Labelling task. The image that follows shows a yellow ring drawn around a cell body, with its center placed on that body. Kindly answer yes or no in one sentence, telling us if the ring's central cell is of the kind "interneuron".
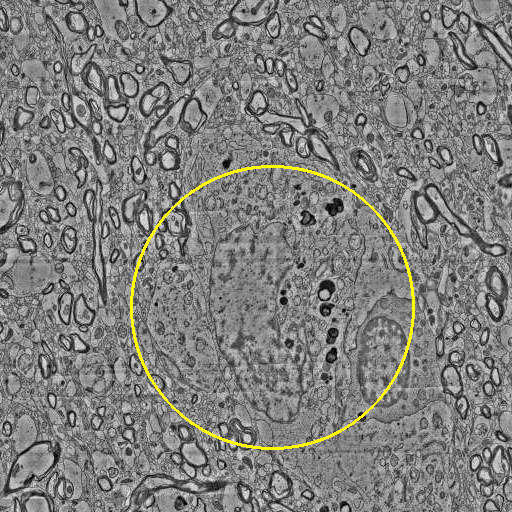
Yes, in this image the cell at the ring's center is of that kind.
